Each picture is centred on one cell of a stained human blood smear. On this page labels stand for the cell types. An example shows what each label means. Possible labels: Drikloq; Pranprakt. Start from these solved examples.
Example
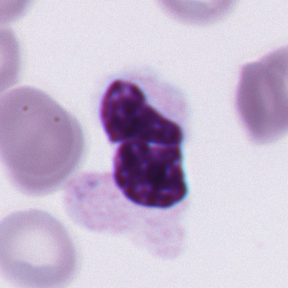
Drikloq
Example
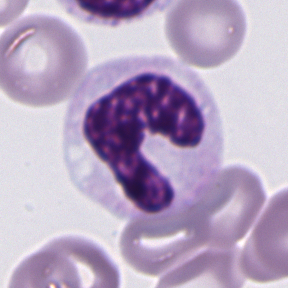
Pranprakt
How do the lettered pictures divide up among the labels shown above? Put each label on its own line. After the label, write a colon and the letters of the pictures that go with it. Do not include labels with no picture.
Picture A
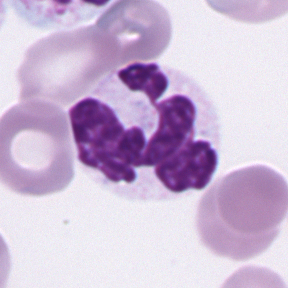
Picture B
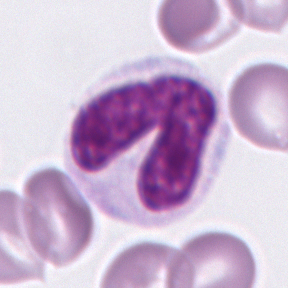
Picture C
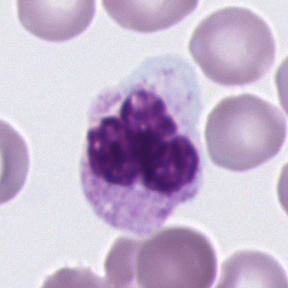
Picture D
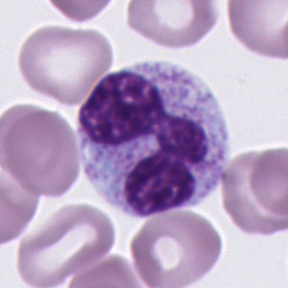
Drikloq: A, C, D
Pranprakt: B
